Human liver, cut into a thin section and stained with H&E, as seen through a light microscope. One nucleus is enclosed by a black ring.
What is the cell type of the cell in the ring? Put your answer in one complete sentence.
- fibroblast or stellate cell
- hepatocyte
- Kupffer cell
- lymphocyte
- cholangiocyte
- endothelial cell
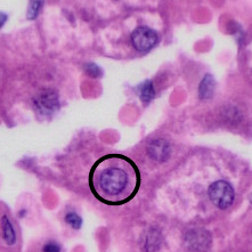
The cell meant here is a hepatocyte.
